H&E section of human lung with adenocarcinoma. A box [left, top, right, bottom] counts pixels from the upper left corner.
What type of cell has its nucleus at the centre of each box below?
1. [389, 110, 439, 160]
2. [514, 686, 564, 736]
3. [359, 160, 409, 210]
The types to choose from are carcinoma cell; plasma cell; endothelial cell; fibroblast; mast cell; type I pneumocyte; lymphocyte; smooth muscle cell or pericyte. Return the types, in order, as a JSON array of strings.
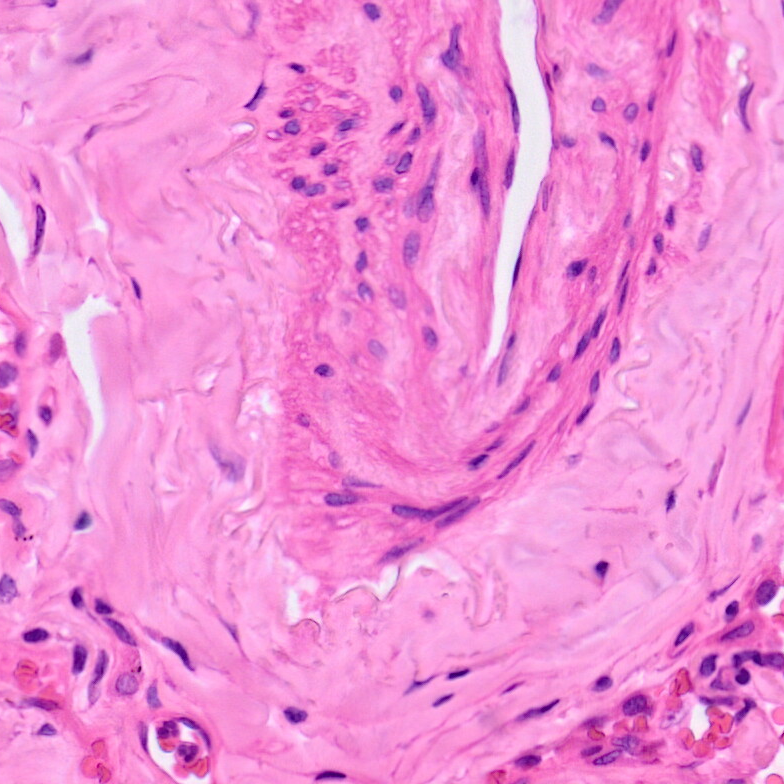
["smooth muscle cell or pericyte", "fibroblast", "smooth muscle cell or pericyte"]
